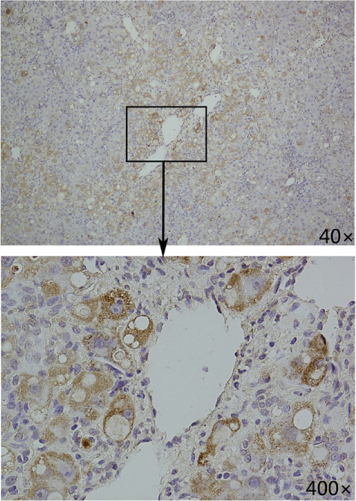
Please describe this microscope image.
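This is a section of liver, shown at low power above and, below, enlarged from the boxed area around a large empty vessel lumen. At low power the brown stain is patchy and seems concentrated in the parenchyma near the vessel rather than spread evenly. At high power the stained cells are large and rounded to polygonal, with round blue nuclei and brown granular cytoplasm. Many of these large cells contain clear round vacuoles of differing size, giving the cytoplasm a bubbly look. Between them lie smaller cells with compact blue nuclei and little or no brown stain.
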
